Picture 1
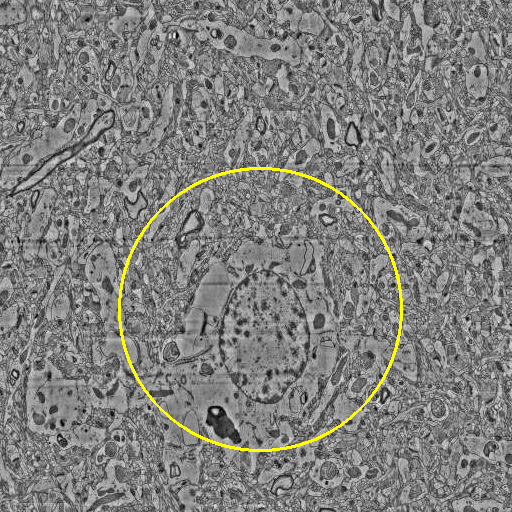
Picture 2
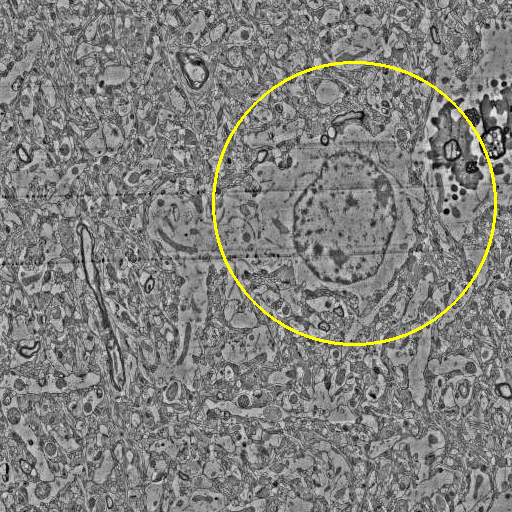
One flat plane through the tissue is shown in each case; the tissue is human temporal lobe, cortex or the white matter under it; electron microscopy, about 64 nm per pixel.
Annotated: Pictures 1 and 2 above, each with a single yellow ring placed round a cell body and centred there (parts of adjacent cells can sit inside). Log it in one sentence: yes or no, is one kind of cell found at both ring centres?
Yes, the ring centres of the two pictures hold cells of one kind.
